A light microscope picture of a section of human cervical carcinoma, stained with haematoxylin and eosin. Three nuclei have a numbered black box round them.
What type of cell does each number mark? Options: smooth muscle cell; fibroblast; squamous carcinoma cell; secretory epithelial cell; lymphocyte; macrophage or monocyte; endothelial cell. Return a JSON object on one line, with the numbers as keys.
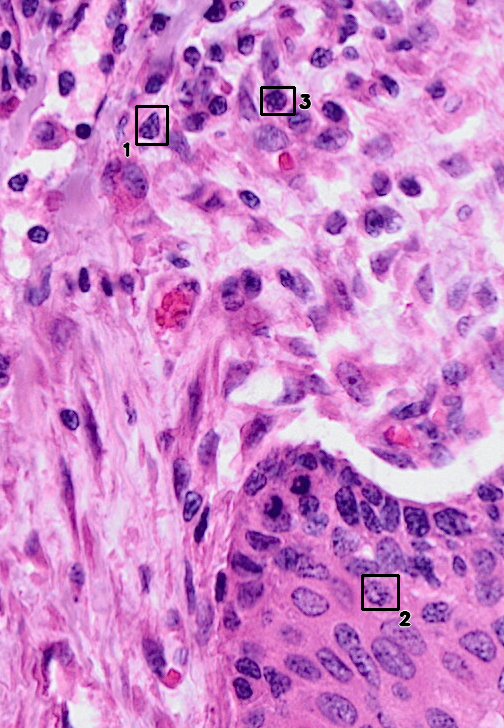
{"1": "lymphocyte", "2": "squamous carcinoma cell", "3": "lymphocyte"}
